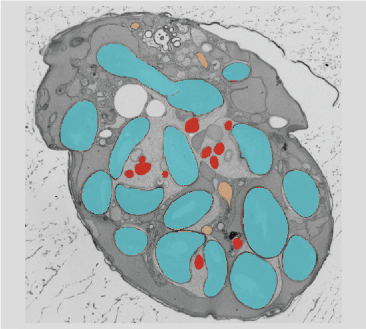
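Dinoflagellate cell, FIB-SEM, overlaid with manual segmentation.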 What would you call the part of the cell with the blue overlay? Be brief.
Algal plastids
